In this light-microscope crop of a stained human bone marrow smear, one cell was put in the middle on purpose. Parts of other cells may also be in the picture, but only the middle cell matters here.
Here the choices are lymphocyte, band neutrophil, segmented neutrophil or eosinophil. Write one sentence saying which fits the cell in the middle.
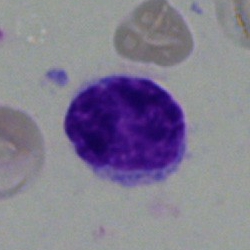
The centrally located cell in the crop is a lymphocyte.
